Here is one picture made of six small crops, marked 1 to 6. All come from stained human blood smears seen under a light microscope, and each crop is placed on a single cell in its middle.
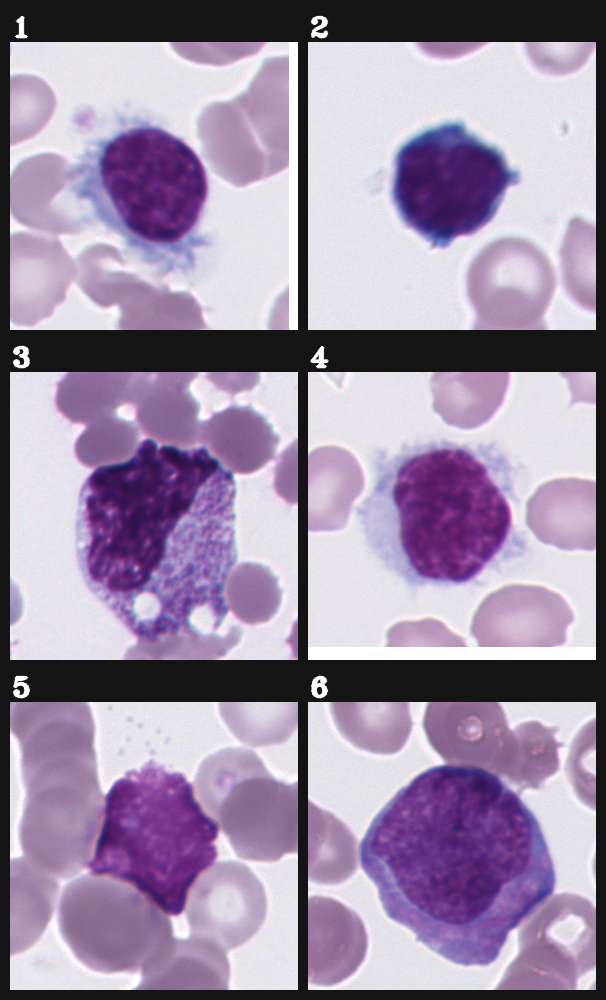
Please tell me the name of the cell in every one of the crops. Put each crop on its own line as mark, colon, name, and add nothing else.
1: hairy cell
2: typical lymphocyte
3: myelocyte
4: hairy cell
5: smudge cell
6: atypical promyelocyte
